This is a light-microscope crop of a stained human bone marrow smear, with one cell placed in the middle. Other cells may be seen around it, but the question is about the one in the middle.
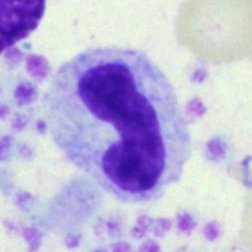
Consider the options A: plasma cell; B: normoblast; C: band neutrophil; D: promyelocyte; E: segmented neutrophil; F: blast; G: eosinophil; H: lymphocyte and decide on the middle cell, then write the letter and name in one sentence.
The correct identification, given in option C, is that the central cell is a band neutrophil.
